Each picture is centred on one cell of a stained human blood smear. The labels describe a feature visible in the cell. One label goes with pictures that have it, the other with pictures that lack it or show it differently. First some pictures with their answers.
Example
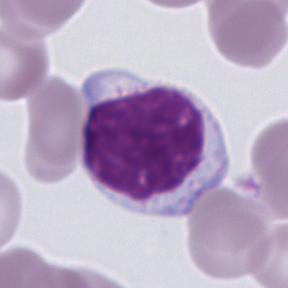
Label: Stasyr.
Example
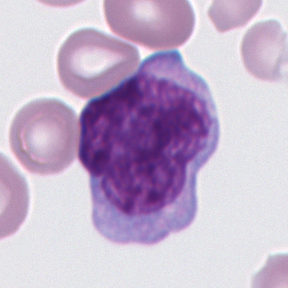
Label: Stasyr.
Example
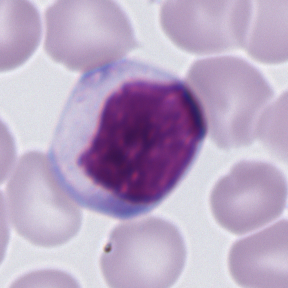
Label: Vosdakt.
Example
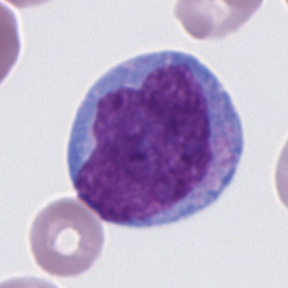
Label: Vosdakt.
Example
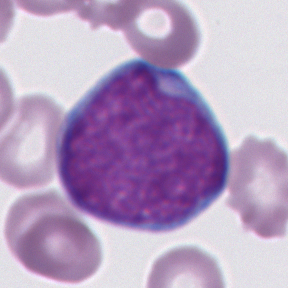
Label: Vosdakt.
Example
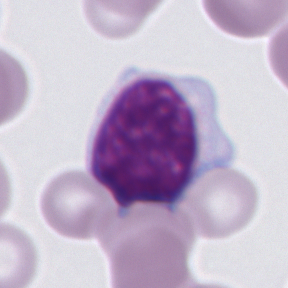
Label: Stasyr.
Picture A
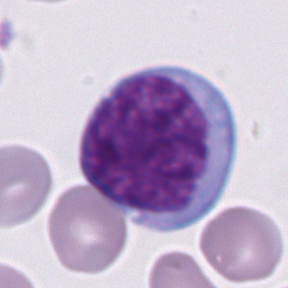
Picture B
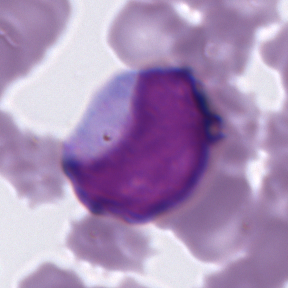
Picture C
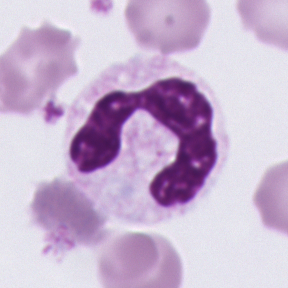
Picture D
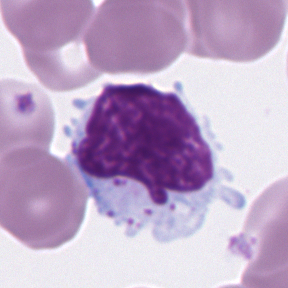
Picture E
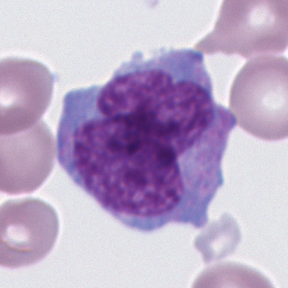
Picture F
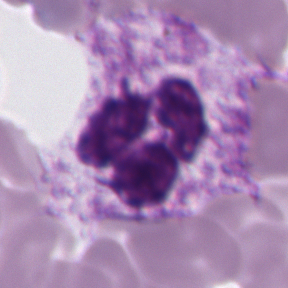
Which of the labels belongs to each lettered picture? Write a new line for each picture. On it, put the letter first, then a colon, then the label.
A: Vosdakt.
B: Stasyr.
C: Vosdakt.
D: Stasyr.
E: Stasyr.
F: Stasyr.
